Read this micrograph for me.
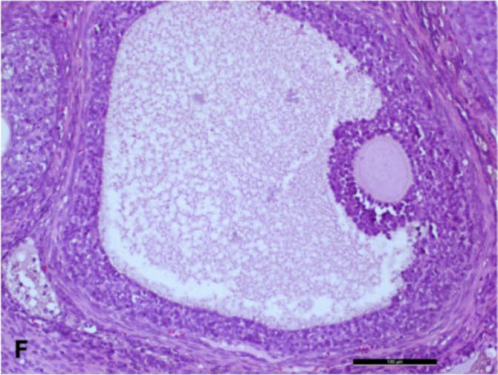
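A large tertiary follicle of the ovary fills the view, with a wide antrum holding pale pink, finely granular fluid. The antrum is lined by several layers of closely packed granulosa cells with dark purple nuclei. On one side these cells heap into a mound that carries a round, pale pink oocyte. The whole follicle is encircled by flattened cells arranged in concentric layers.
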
